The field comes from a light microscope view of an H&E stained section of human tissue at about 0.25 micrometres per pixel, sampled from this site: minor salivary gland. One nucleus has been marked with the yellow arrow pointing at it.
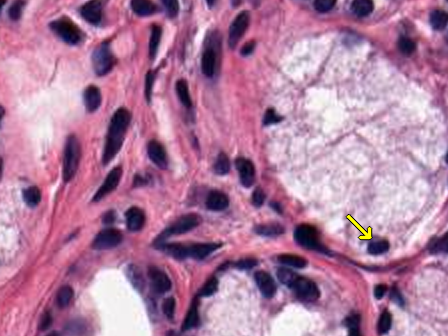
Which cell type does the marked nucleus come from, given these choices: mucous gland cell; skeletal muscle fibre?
mucous gland cell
